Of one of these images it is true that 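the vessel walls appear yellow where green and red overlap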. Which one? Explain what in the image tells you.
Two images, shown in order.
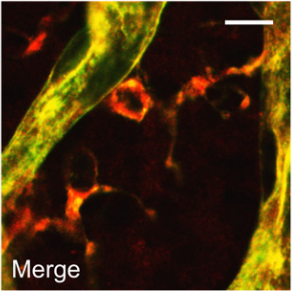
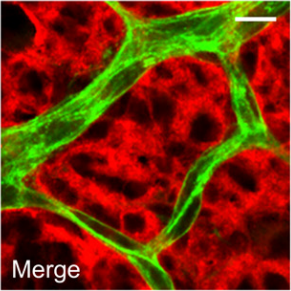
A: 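Second image: vessels remain pure green, red fills the spaces between them.
The first image.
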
